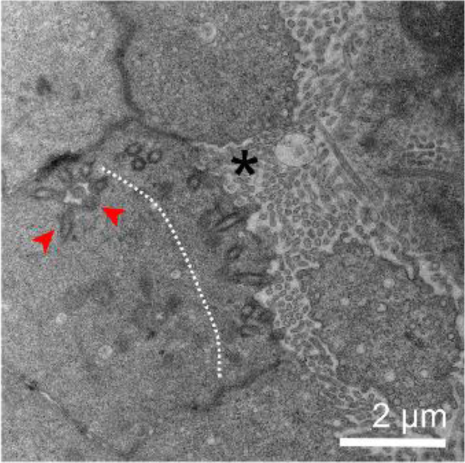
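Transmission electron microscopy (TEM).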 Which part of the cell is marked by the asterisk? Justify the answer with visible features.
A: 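Microvilli. A field of many small, closely packed round and finger-like profiles lies at the lumen side. The profiles are much thinner than cilia and lack an inner ring pattern.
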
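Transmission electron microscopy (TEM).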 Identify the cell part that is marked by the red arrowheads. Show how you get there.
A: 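Small dense ring-like profiles lie scattered in the cytoplasm.
Conclusion: disorganized basal bodies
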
